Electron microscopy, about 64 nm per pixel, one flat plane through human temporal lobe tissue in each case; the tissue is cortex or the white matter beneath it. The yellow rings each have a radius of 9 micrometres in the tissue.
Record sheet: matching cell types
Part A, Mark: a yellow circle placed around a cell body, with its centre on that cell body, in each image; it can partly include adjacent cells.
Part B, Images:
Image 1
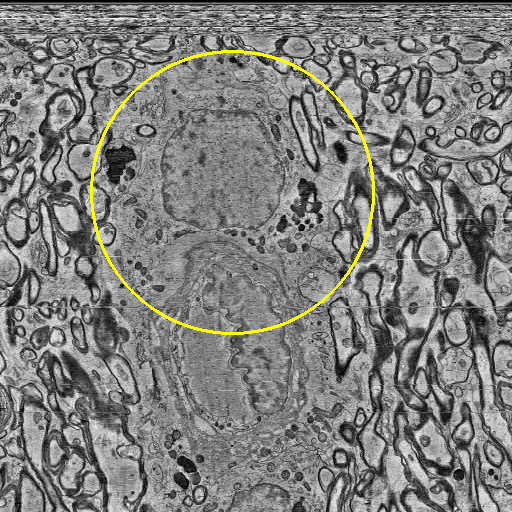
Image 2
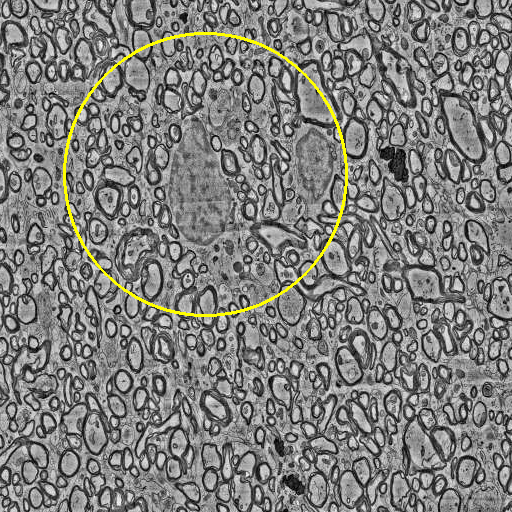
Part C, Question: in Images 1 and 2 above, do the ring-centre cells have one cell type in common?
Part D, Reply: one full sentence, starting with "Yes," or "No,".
No, the ring-centre cells of Image 1 and Image 2 are each of a separate cell type.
